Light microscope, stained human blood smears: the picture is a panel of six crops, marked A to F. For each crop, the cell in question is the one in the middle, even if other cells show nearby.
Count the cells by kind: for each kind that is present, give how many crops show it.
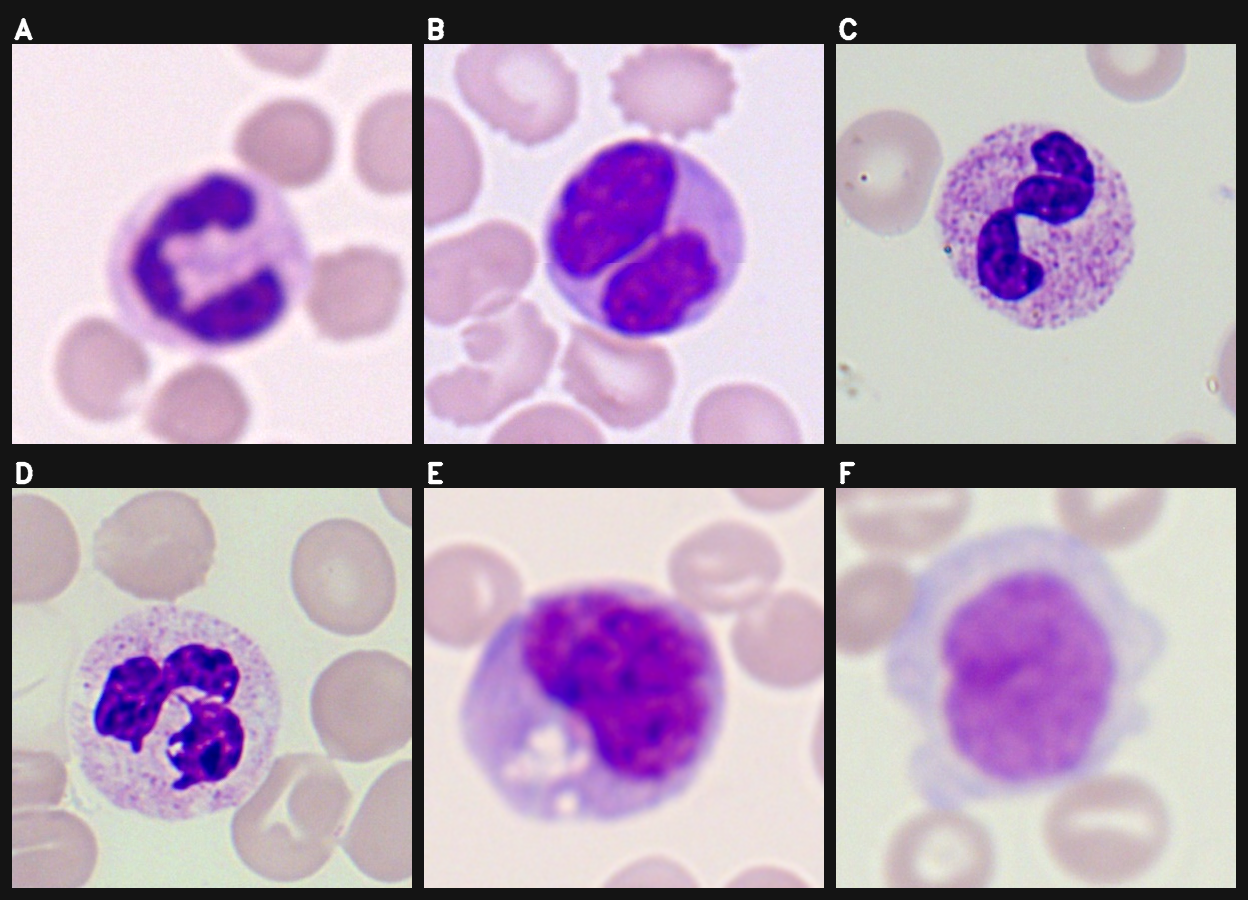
neutrophil: 3
monocyte: 3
